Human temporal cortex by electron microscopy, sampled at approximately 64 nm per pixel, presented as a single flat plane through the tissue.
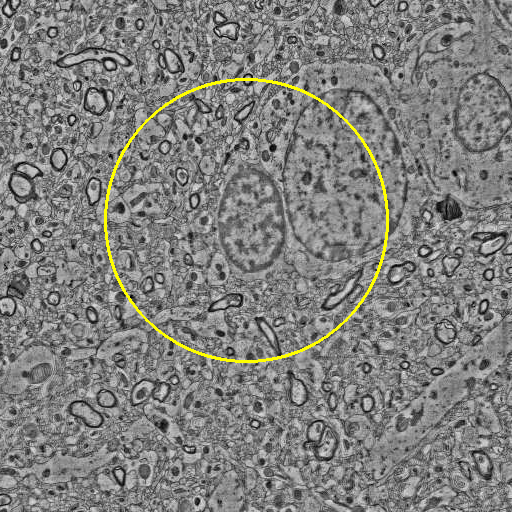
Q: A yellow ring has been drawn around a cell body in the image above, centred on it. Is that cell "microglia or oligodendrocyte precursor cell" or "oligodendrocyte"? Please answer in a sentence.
The ring surrounds the cell body of an oligodendrocyte.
